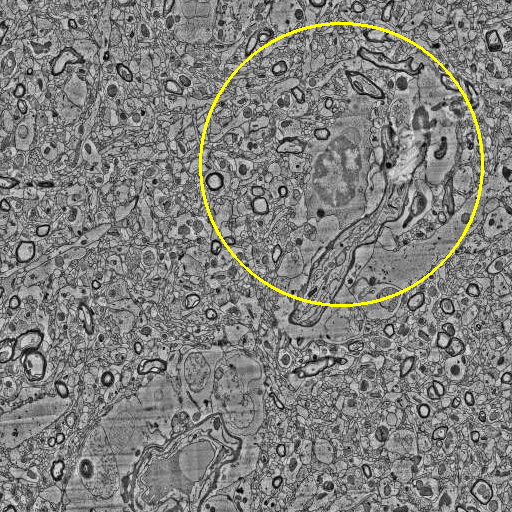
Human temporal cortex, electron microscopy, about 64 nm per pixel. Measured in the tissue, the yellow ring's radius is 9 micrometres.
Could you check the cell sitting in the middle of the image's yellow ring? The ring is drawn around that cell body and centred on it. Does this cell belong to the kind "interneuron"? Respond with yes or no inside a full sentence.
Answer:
No, this cell in the middle of the yellow ring is one of a different kind.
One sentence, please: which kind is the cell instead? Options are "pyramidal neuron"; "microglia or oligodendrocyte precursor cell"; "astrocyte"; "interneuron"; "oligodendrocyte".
Instead, the cell inside the ring is an oligodendrocyte.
